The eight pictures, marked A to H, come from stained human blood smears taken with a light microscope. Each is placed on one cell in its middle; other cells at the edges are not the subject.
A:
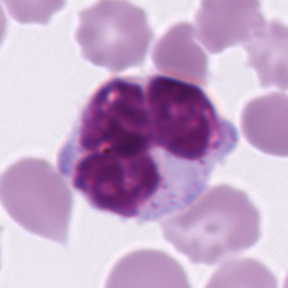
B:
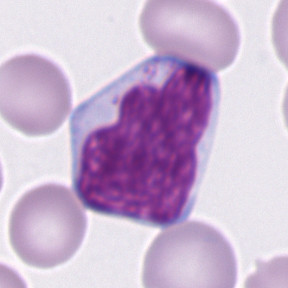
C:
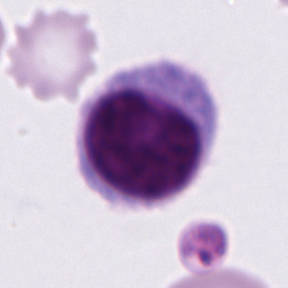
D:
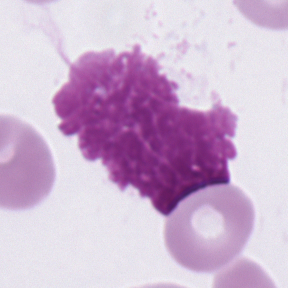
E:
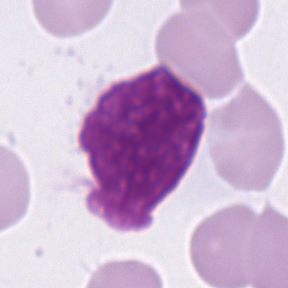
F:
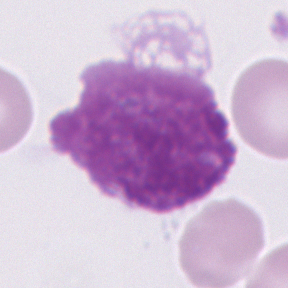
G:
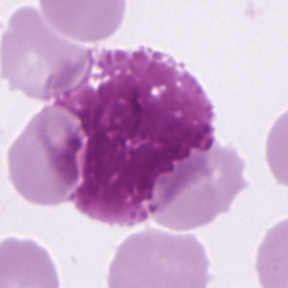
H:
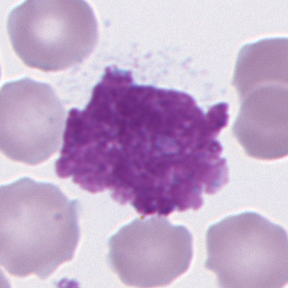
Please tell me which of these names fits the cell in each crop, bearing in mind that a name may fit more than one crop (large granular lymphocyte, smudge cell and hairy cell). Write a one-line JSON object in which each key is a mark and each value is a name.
{"A": "large granular lymphocyte", "B": "large granular lymphocyte", "C": "hairy cell", "D": "smudge cell", "E": "smudge cell", "F": "smudge cell", "G": "smudge cell", "H": "smudge cell"}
